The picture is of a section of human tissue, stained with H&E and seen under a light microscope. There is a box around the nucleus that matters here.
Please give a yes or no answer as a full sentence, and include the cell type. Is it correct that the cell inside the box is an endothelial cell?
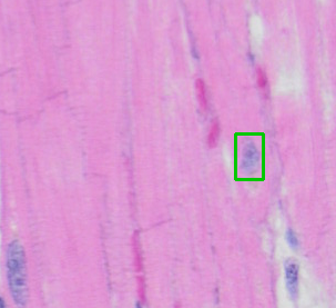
No, that is wrong: the cell inside the box is a cardiomyocyte, not an endothelial cell.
